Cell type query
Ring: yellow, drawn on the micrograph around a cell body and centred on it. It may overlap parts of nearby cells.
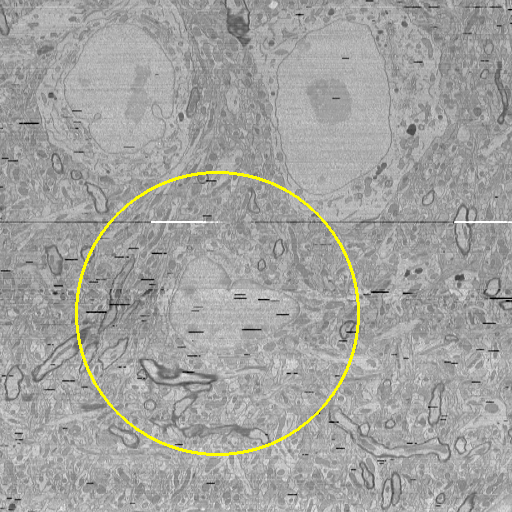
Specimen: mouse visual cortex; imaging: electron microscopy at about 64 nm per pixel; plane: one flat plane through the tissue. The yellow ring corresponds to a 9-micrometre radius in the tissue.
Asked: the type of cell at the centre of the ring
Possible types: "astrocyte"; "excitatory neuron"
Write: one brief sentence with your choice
The ring marks an astrocyte.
